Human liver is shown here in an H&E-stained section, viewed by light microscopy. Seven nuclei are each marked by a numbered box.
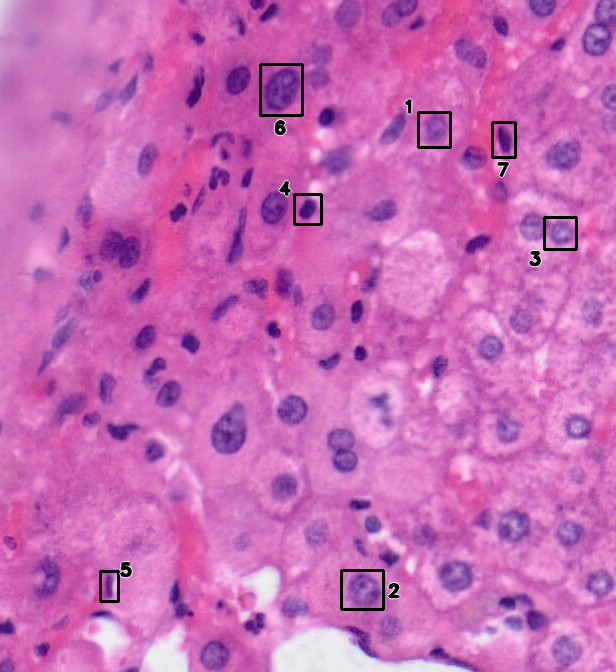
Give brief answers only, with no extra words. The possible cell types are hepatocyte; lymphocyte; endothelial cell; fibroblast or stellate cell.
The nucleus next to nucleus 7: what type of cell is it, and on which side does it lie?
an endothelial cell below and to the left of nucleus 7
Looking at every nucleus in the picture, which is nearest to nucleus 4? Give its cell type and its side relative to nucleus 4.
a hepatocyte to the left of nucleus 4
